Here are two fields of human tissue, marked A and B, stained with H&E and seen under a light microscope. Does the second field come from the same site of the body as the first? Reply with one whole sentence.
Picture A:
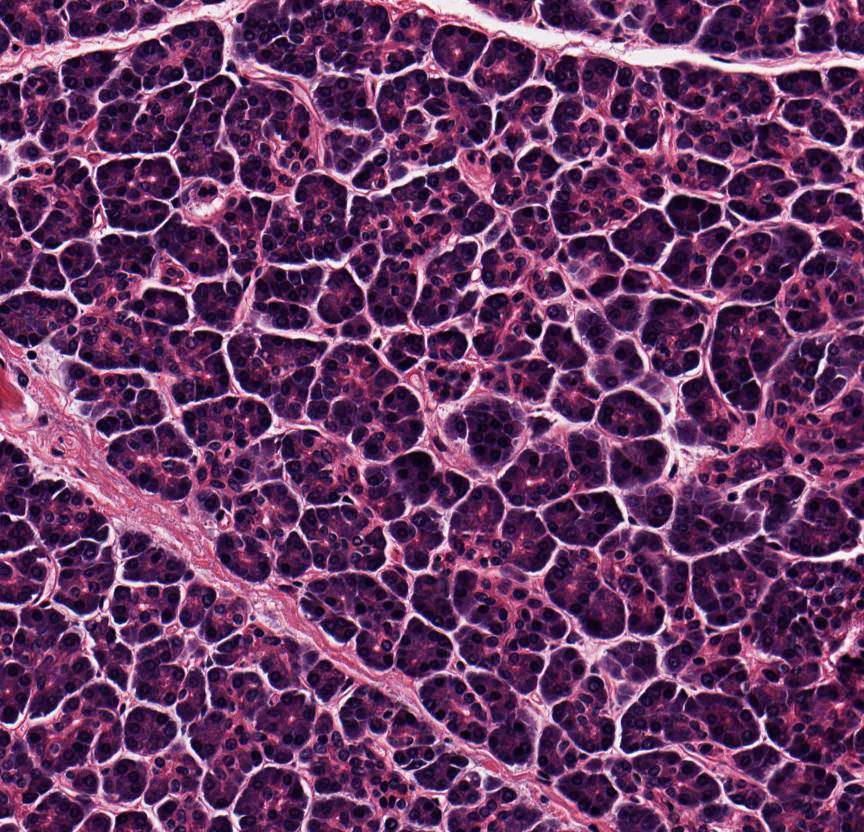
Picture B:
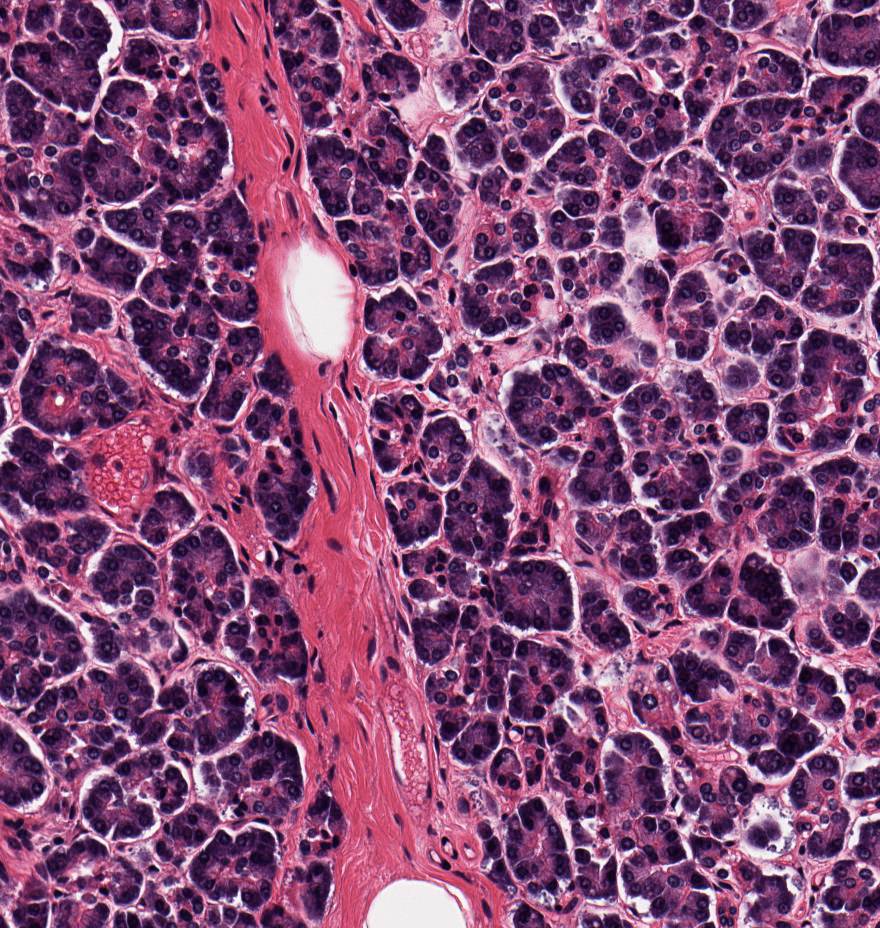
Yes, both come from the pancreas.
